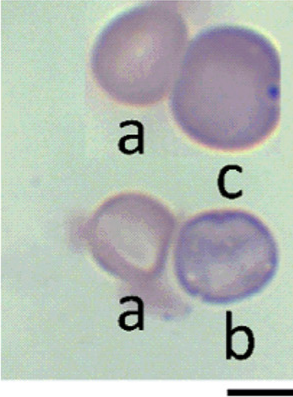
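Two cells on the left are pale pinkish-lilac, with a lighter centre and a slightly irregular outline. The two cells on the right are larger and a deeper bluish-purple. The upper one of these has a small, dark, round dot at its rim, a micronucleus.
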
